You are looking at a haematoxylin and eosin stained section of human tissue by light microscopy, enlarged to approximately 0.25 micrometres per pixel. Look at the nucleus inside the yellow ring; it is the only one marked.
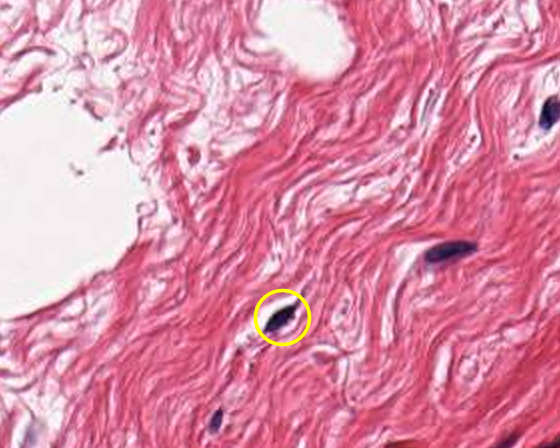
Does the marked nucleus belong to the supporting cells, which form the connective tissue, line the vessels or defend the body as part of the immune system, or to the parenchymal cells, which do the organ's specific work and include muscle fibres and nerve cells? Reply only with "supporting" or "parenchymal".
supporting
